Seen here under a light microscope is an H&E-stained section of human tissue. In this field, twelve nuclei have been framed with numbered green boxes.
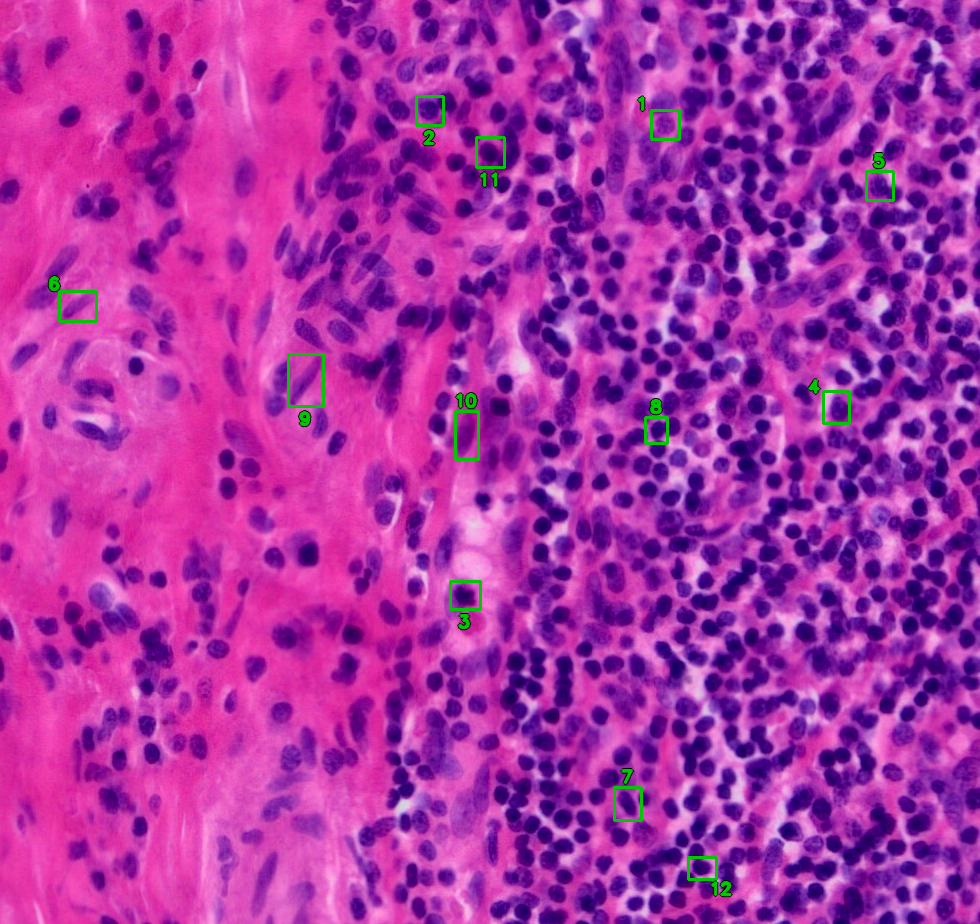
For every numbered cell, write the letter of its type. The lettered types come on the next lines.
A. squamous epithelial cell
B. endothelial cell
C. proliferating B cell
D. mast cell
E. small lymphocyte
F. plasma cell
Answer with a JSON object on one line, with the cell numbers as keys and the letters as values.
{"1": "B", "2": "F", "3": "B", "4": "F", "5": "F", "6": "B", "7": "B", "8": "E", "9": "B", "10": "B", "11": "F", "12": "E"}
